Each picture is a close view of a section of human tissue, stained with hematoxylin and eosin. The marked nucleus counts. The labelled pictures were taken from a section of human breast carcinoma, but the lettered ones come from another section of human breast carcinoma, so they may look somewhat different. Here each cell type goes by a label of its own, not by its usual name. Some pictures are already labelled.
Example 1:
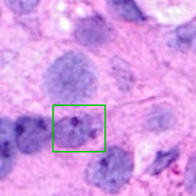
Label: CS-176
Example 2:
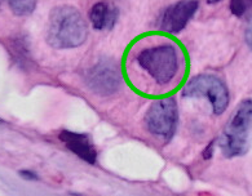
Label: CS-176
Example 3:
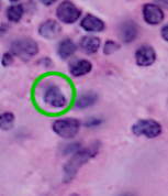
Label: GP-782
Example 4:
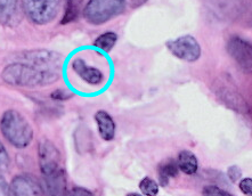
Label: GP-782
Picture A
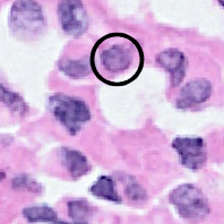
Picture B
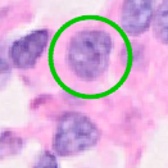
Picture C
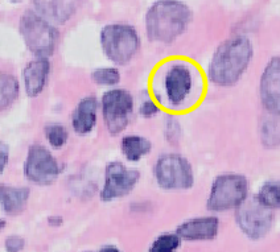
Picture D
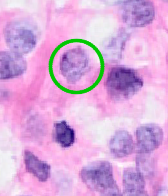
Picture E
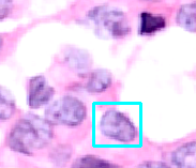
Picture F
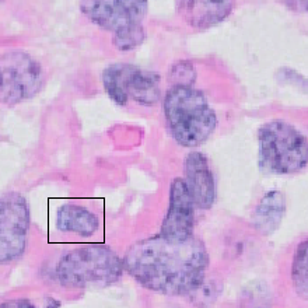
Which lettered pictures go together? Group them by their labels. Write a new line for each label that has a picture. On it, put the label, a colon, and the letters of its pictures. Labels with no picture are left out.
CS-176: A, B, D, E, F
GP-782: C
